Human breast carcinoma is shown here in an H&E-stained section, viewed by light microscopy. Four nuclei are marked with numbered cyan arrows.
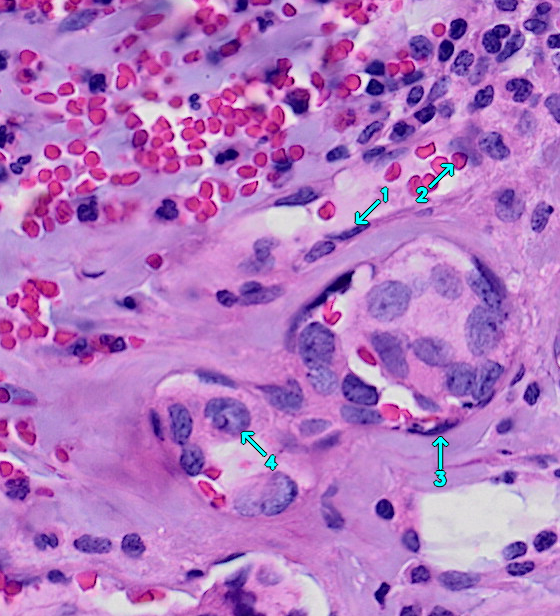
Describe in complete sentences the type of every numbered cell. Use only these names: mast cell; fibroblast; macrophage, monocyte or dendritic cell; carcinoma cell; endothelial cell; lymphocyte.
Cell 1 is an endothelial cell, cell 2 is an endothelial cell, cell 3 is an endothelial cell and cell 4 is a carcinoma cell.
